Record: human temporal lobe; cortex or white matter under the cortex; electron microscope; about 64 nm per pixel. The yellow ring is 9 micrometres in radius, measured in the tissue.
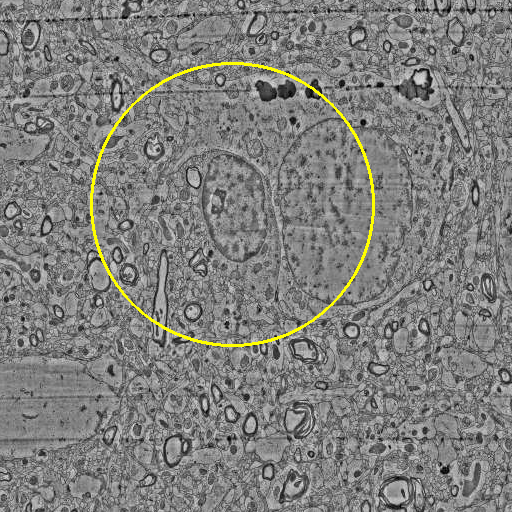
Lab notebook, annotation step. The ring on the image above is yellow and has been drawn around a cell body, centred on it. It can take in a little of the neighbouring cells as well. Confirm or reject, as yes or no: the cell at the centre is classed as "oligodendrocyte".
Yes, confirmed for that class.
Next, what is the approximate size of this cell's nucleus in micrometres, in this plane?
About 7 by 4 micrometers in this plane, so the nucleus is clearly longer than it is wide.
